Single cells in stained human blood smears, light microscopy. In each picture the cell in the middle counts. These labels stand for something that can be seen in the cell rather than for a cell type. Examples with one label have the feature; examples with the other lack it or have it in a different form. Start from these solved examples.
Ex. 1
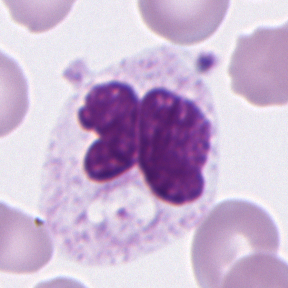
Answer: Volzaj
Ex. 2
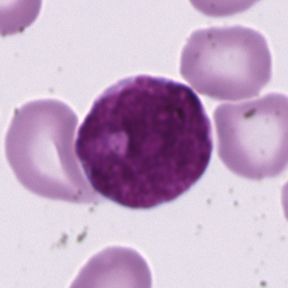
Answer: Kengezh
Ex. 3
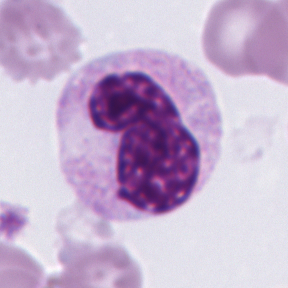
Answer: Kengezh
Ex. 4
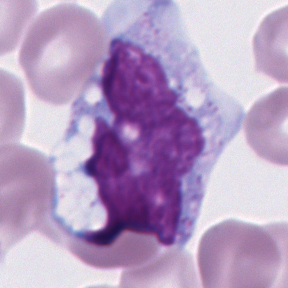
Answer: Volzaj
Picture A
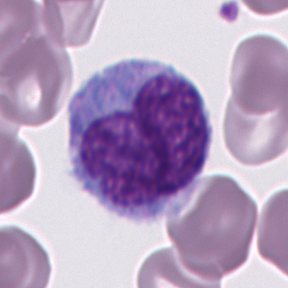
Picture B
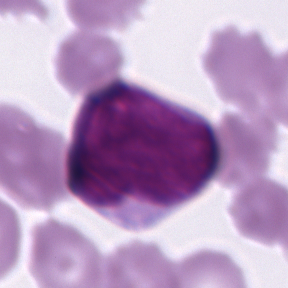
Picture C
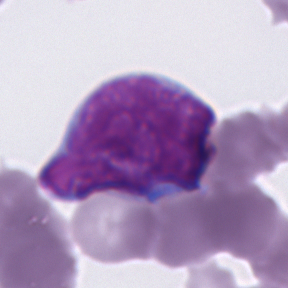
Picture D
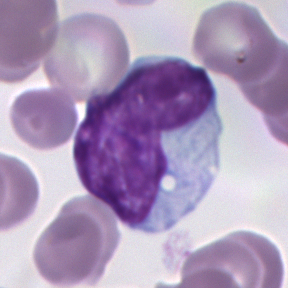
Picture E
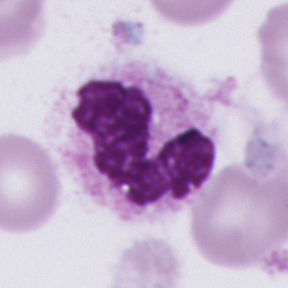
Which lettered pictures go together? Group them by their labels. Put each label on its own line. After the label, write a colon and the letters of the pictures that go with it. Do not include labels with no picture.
Volzaj: D
Kengezh: A, B, C, E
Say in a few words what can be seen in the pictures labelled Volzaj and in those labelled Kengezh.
Seen in Volzaj: vacuoles present; seen in Kengezh: no vacuoles.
